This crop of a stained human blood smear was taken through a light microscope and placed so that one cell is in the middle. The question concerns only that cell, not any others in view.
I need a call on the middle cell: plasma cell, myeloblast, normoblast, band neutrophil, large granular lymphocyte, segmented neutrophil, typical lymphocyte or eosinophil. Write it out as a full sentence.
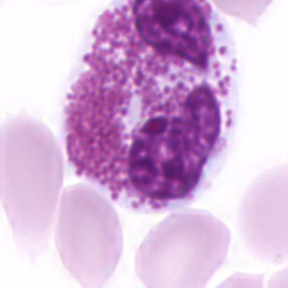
The target cell in the middle of the crop is an eosinophil.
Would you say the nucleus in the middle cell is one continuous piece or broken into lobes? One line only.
The nuclear outline breaks up into two or more lobes.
